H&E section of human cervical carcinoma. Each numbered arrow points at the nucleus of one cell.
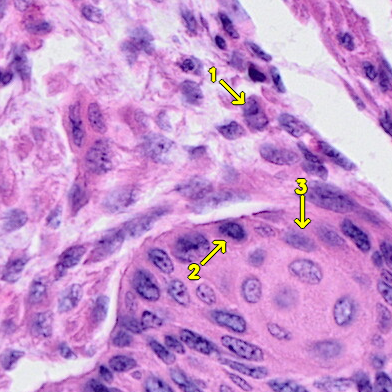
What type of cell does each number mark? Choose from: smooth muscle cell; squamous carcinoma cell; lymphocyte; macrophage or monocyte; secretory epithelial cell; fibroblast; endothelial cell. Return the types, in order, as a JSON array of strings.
["macrophage or monocyte", "squamous carcinoma cell", "squamous carcinoma cell"]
